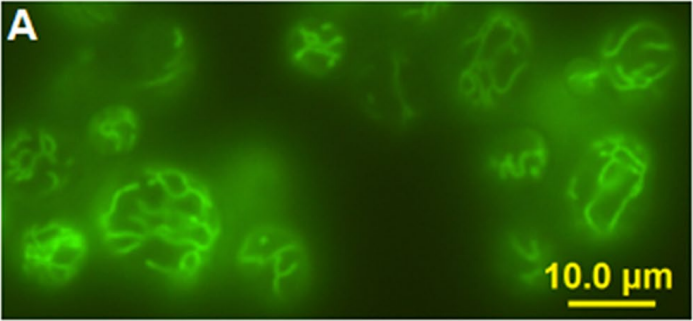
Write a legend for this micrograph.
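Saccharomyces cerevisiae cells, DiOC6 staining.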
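Round to oval yeast cells, each holding a mitochondrial network seen as thin green tubules. The tubules branch, curve and loop, running mostly beneath the cell edge. Between the cells lies a dim green haze, and some cells are out of focus.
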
